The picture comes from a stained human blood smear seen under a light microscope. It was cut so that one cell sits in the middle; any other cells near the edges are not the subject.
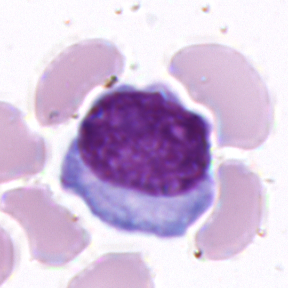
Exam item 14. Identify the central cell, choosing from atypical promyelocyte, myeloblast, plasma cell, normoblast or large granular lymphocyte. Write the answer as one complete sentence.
The central cell in this smear crop is a plasma cell.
